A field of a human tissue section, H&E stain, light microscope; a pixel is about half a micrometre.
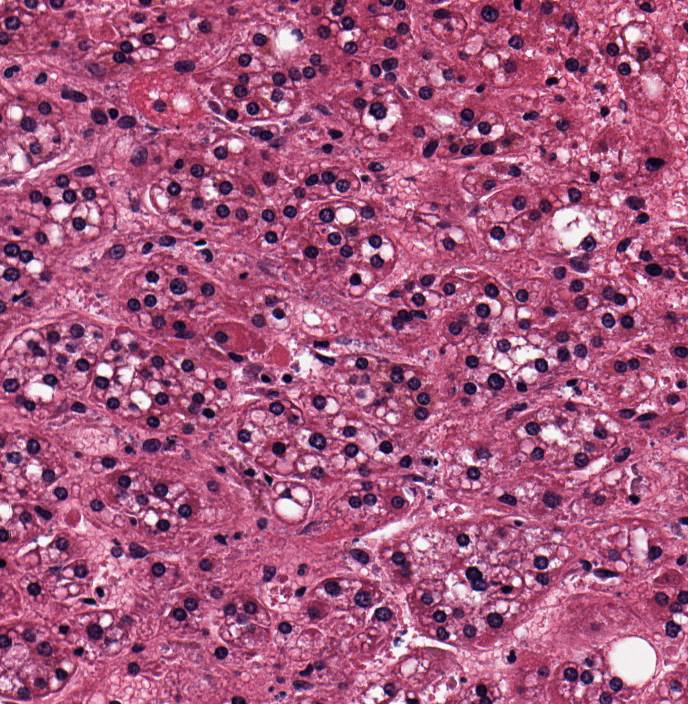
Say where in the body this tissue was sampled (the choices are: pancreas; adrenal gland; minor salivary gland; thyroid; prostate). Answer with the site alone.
adrenal gland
